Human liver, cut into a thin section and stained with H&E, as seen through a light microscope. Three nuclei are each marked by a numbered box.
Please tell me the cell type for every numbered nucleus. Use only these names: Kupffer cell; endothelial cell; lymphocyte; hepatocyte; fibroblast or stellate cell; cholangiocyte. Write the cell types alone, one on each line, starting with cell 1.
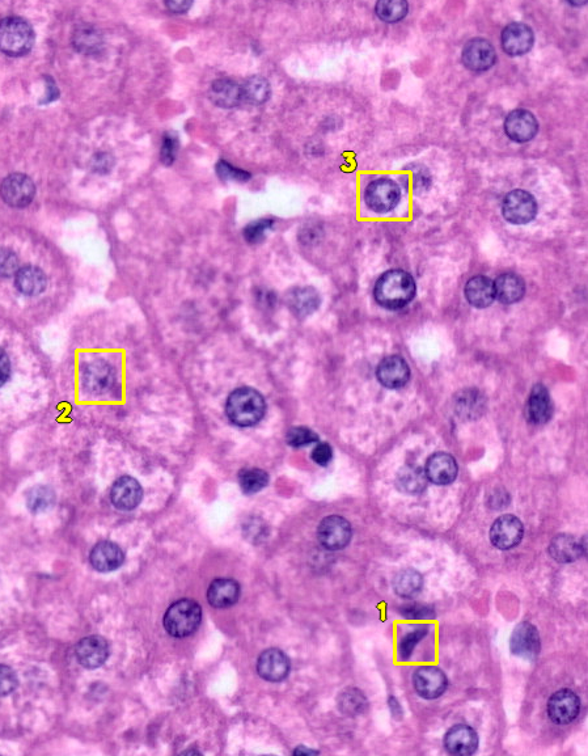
fibroblast or stellate cell
hepatocyte
hepatocyte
